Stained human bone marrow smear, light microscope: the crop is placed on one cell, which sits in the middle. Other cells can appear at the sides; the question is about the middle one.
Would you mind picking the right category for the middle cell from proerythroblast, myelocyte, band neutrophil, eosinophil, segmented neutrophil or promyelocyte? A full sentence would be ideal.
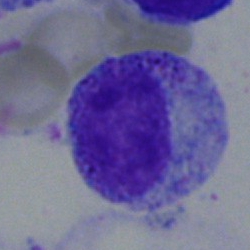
In this crop, the cell at the very middle is a myelocyte.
